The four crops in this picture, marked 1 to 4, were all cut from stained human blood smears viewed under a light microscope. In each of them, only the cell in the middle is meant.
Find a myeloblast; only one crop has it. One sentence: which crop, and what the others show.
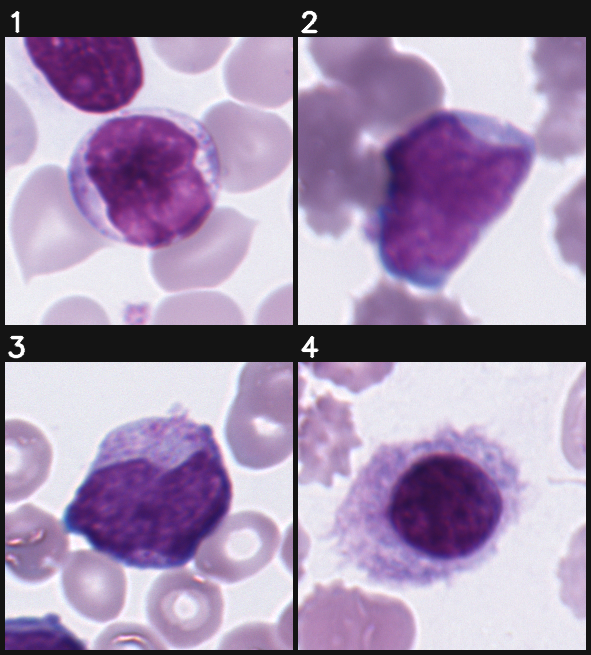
Crop 2 features a myeloblast, while crop 1 is a large granular lymphocyte, crop 3 is an atypical promyelocyte and crop 4 is a hairy cell.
